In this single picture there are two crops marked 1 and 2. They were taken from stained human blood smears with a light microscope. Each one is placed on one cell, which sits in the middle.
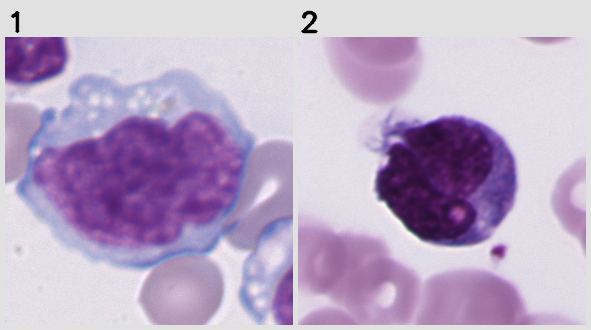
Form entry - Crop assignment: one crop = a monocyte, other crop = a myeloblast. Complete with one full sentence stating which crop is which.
Crop 1 is occupied by a myeloblast, and crop 2 is occupied by a monocyte.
